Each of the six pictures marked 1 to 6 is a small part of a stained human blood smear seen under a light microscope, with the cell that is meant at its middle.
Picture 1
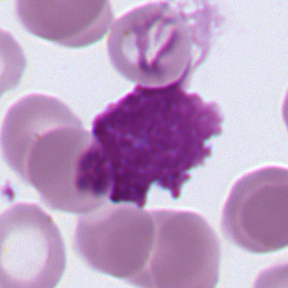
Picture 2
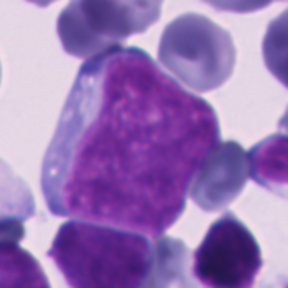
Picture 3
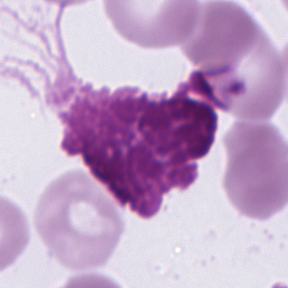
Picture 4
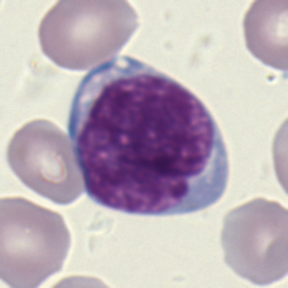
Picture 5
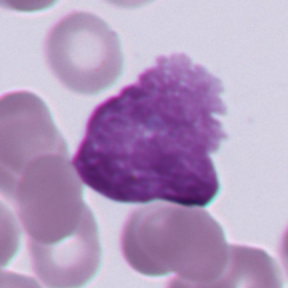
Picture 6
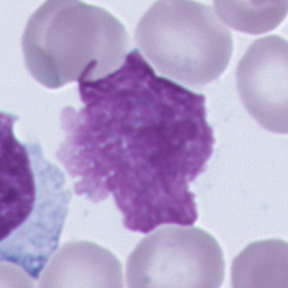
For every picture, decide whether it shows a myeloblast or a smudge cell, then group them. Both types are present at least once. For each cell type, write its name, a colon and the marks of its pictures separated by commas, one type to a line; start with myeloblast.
myeloblast: 2, 4
smudge cell: 1, 3, 5, 6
